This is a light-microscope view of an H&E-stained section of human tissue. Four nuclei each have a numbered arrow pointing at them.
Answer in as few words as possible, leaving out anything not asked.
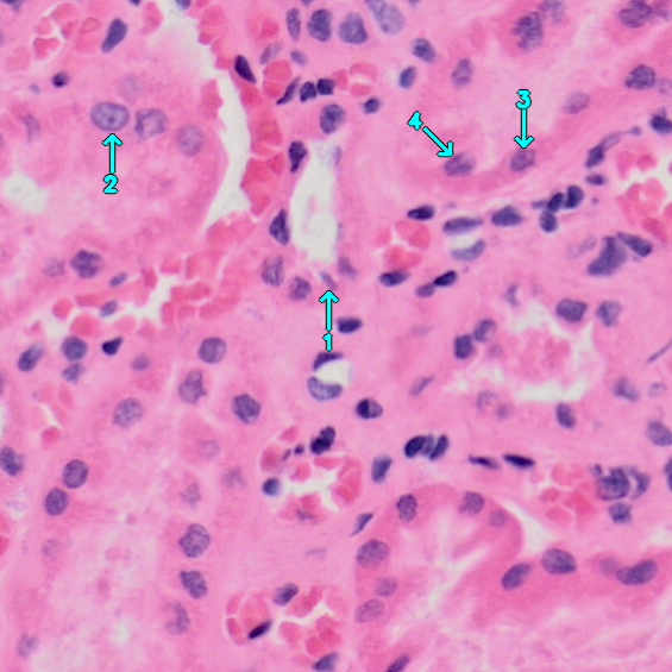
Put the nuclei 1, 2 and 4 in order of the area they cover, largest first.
2, 4, 1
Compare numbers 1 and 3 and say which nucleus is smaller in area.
1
